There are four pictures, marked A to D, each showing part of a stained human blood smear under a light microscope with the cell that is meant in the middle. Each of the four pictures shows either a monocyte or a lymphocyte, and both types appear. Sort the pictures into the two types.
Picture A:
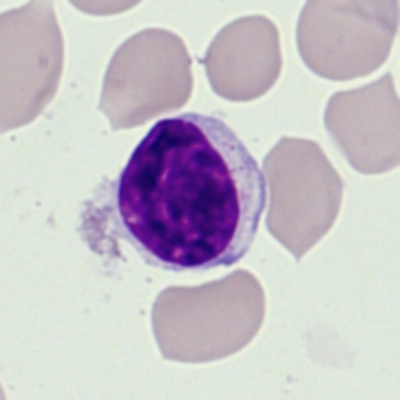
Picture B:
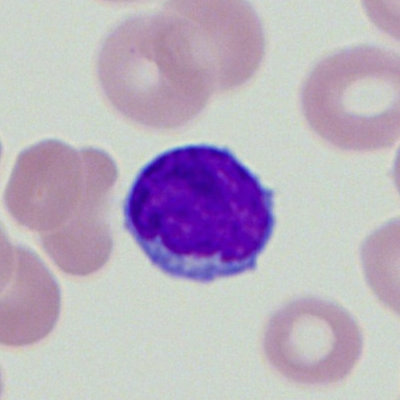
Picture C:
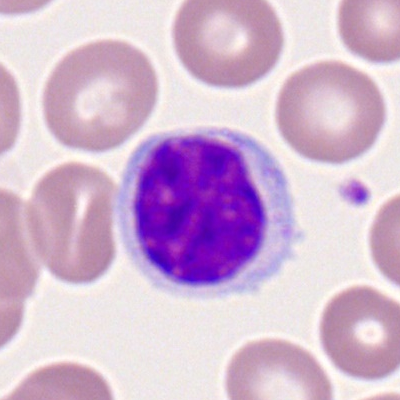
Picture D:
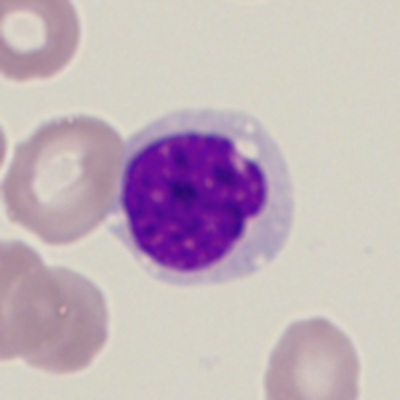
A: lymphocyte
B: lymphocyte
C: lymphocyte
D: monocyte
